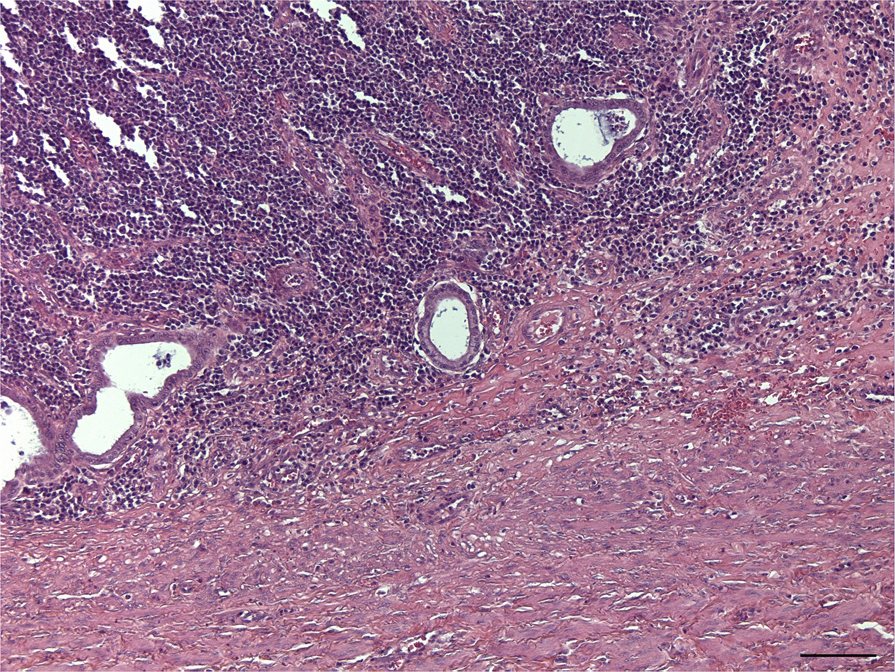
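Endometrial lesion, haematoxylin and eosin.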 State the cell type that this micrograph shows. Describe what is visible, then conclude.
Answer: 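Dense sheets of small round cells fill the upper part of the field. These cells have dark, round nuclei. These cells have very little cytoplasm. The answer: lymphocytes.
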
